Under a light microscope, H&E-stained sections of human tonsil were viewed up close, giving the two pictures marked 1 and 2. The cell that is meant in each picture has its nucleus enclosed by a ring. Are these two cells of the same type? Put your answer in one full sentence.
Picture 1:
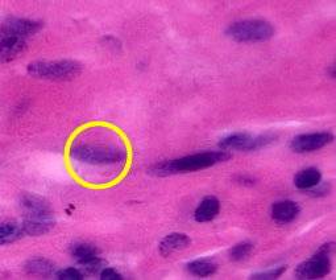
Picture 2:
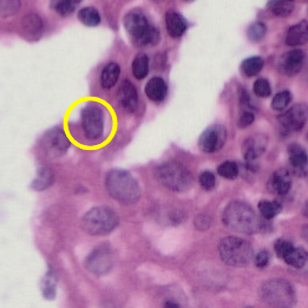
No, the types are not the same, since picture 1 shows an endothelial cell and picture 2 a squamous epithelial cell.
